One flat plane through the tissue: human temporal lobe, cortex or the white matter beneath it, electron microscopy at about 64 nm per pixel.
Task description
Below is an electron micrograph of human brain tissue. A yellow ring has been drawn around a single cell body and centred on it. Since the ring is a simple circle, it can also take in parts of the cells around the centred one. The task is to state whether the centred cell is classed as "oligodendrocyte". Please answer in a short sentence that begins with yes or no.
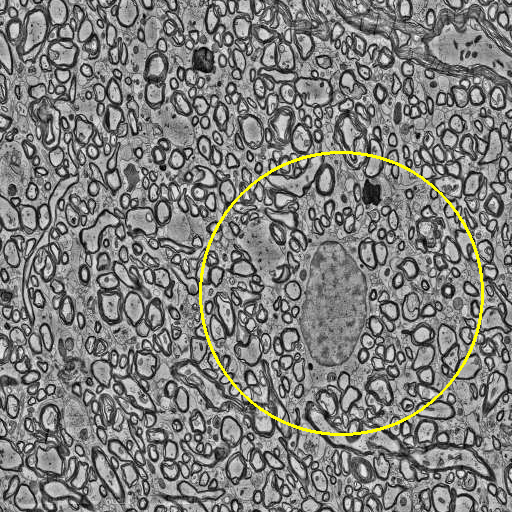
Yes, the centred cell is classed that way.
